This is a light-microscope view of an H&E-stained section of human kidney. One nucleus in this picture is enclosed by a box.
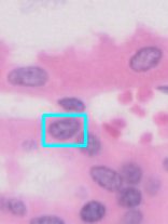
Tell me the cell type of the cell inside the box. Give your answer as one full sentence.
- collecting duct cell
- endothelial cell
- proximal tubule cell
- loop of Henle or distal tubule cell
In the context of this tissue, the cell inside the box is a collecting duct cell.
